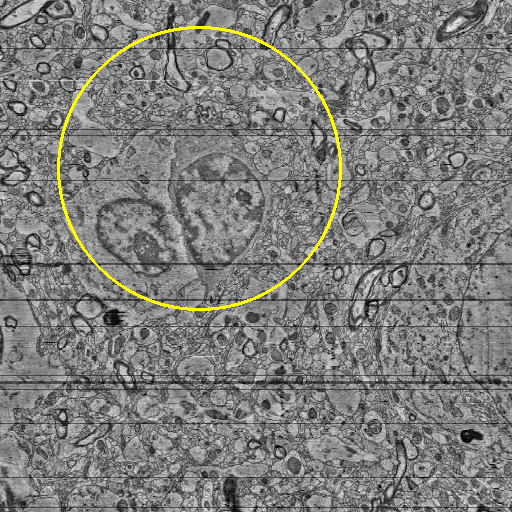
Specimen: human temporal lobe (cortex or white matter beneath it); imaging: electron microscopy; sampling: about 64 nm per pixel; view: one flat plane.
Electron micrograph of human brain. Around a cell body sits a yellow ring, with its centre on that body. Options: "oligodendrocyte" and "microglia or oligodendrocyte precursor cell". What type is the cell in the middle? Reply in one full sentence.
The cell sitting at the centre of the yellow ring is an oligodendrocyte.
